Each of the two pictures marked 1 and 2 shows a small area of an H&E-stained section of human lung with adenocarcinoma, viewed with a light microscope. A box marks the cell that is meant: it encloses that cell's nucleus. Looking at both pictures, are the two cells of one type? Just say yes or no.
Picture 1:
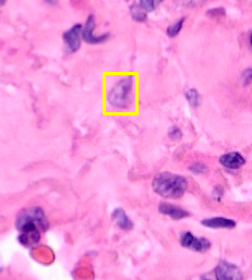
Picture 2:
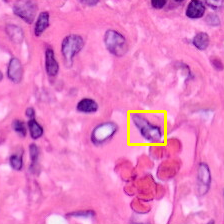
no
